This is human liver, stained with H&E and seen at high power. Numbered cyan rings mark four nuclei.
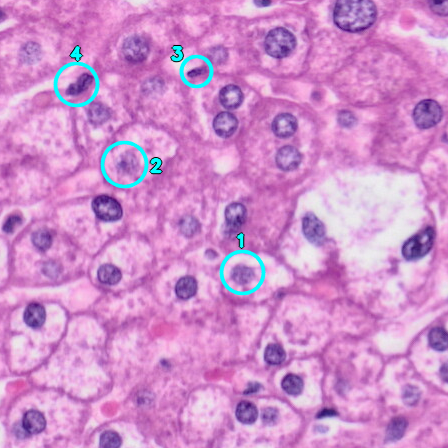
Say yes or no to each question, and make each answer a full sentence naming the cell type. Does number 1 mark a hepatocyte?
Yes, the cell that number 1 points to is a hepatocyte.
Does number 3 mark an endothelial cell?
Yes, in this section the cell with number 3 is an endothelial cell.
